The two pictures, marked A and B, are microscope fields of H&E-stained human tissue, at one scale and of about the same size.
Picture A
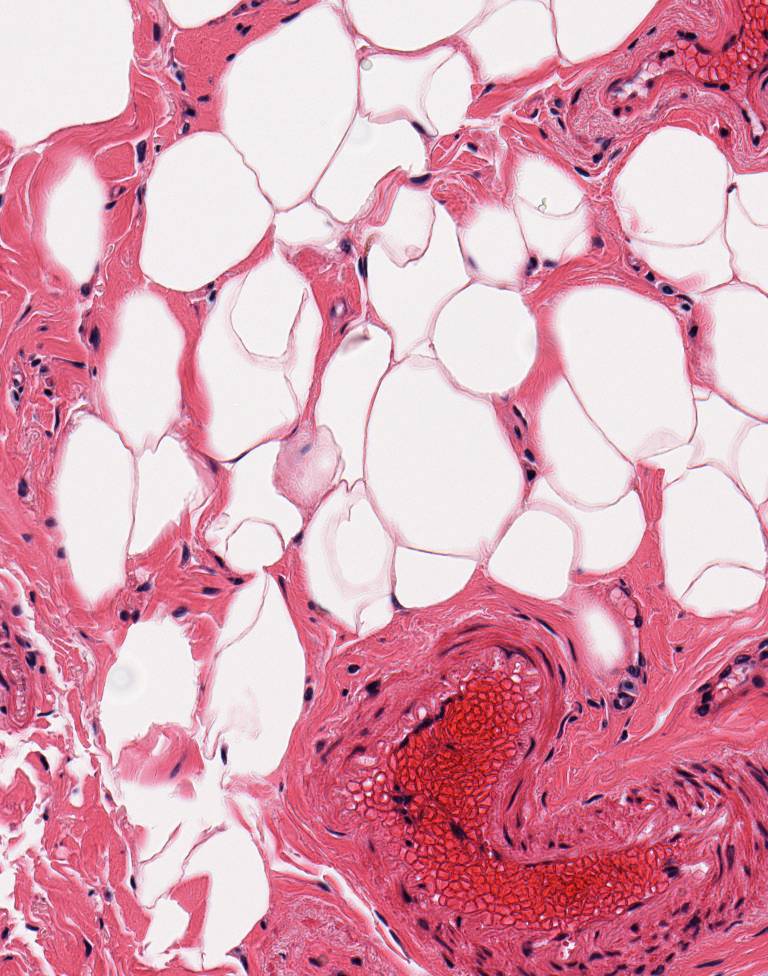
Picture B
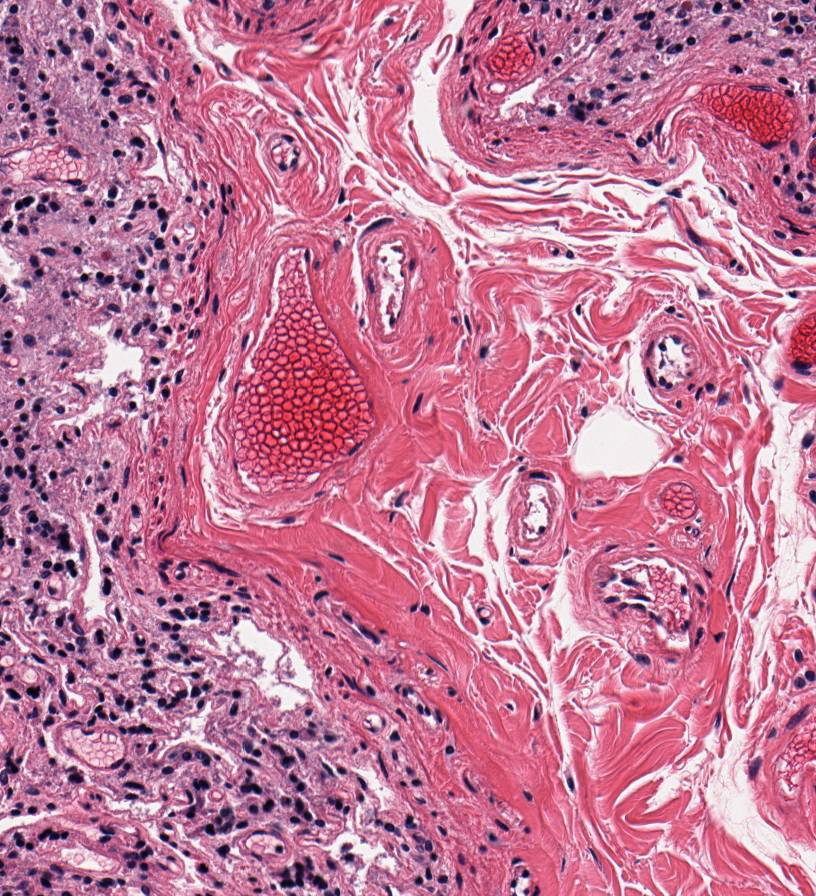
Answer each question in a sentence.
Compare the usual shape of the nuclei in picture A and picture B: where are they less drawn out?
Rounder nuclei lie in picture B.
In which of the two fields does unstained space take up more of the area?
Unstained space takes up more of picture A than of picture B.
